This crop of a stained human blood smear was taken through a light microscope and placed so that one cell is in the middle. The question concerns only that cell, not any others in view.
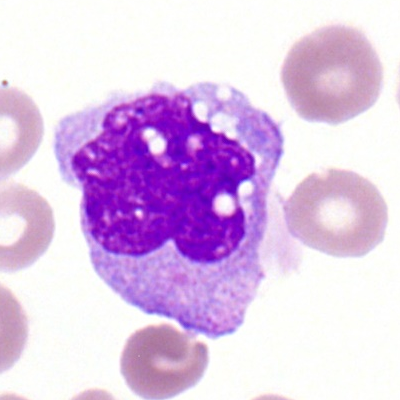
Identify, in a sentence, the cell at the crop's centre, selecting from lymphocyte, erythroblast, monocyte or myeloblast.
The middle of this crop holds a monocyte.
